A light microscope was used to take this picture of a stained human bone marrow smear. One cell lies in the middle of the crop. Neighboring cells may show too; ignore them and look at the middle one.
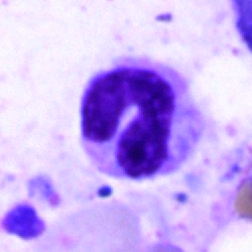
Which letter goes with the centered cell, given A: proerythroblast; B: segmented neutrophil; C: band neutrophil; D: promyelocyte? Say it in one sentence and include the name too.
The cell in the centre of the crop is a band neutrophil, so option C is the correct one.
